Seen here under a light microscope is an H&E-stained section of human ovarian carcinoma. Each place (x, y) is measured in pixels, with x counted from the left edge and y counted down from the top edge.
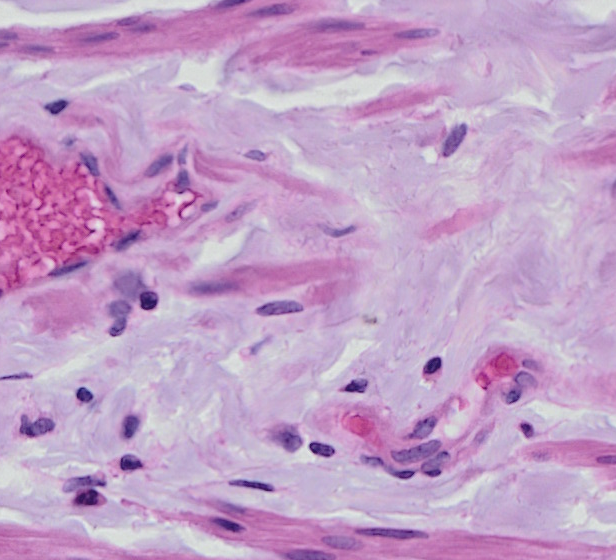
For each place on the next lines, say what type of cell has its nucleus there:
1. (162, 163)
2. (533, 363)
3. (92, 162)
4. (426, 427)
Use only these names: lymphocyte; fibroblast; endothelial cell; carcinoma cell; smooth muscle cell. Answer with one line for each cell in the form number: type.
1: smooth muscle cell
2: endothelial cell
3: endothelial cell
4: endothelial cell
